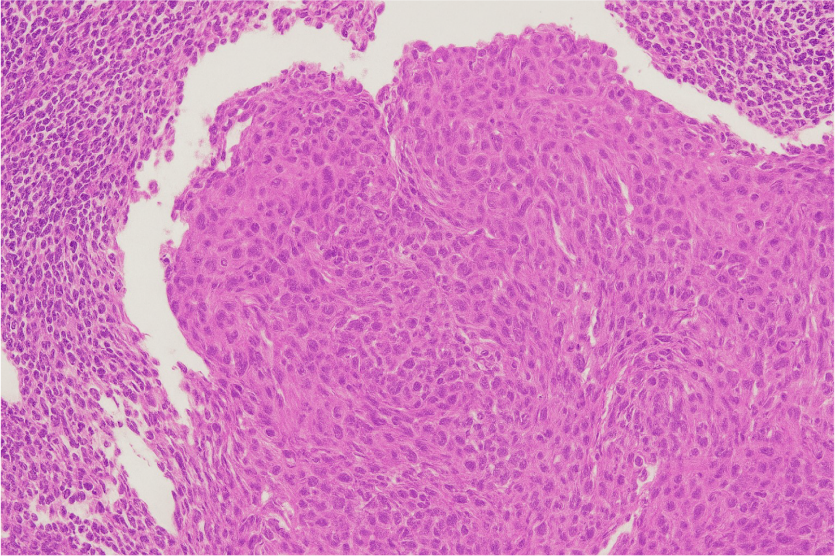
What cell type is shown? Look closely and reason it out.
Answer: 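A large cohesive nest of polygonal cells with pink cytoplasm fills the centre. The nuclei in the nest are enlarged, oval and vary in size. The cells in the nest are arranged in swirling, layered sheets.
Conclusion: atypical squamous epithelial cells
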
